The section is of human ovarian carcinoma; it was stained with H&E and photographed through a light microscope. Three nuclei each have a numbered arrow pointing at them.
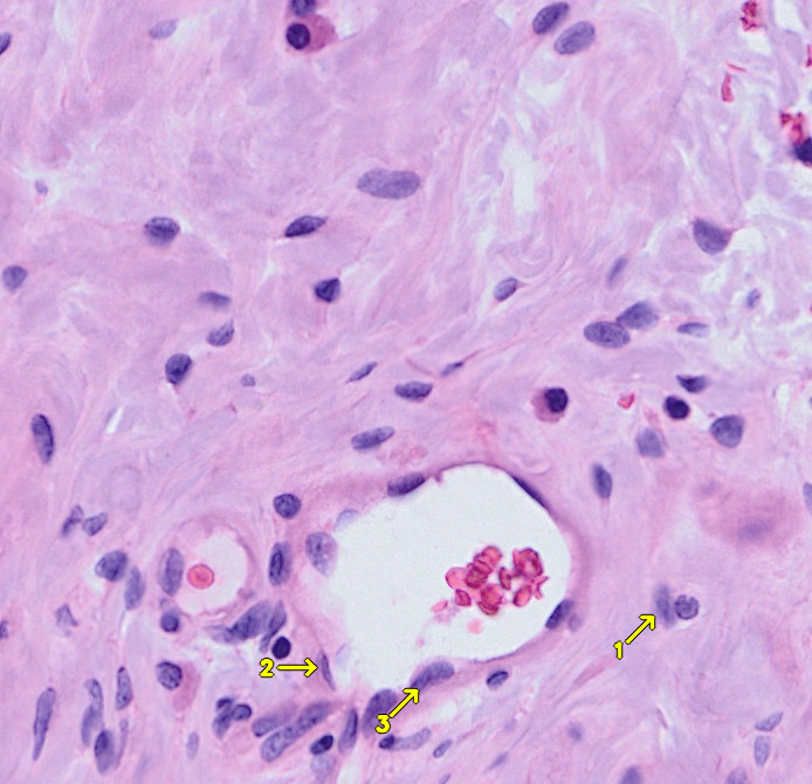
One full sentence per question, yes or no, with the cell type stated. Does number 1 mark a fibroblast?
Yes, the cell shown as number 1 is a fibroblast.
